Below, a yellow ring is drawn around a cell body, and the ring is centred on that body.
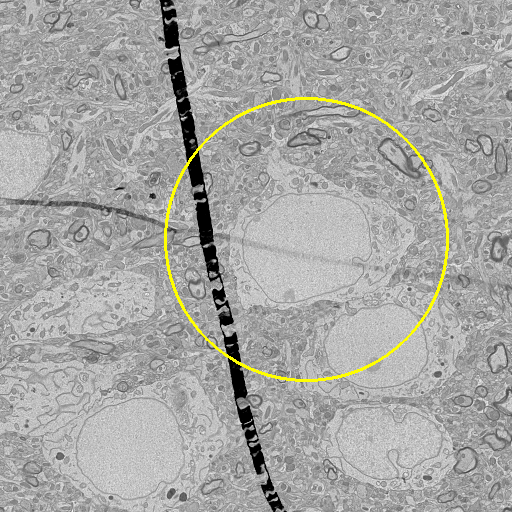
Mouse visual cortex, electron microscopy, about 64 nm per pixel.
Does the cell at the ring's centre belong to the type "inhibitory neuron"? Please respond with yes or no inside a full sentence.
No, the centred cell inside the ring shown in the picture is of a different type.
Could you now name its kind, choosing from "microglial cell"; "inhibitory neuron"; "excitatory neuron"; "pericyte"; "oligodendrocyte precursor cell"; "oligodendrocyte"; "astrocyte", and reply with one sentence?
Instead, the cell at the centre of the ring is an excitatory neuron.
